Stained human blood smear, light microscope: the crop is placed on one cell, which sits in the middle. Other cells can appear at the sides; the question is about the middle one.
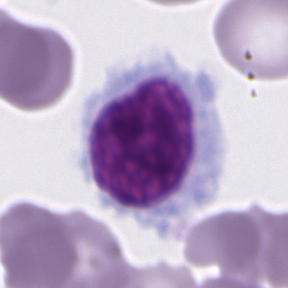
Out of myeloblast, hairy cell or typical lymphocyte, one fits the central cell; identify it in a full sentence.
Framed in the middle of the crop is a hairy cell.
